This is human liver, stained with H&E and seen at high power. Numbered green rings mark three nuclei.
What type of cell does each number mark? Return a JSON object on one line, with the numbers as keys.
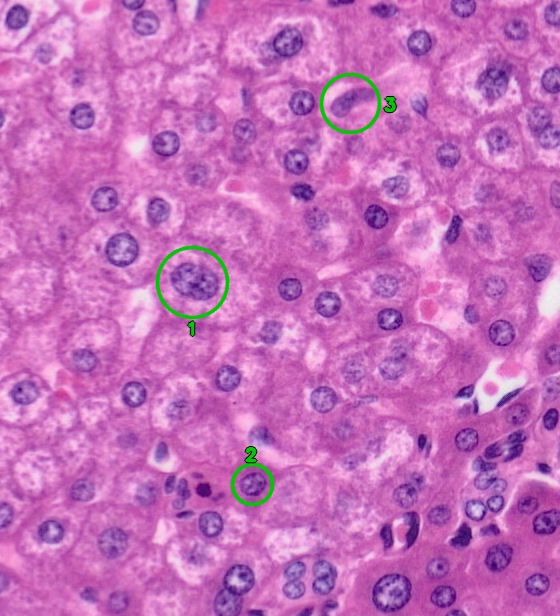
{"1": "hepatocyte", "2": "hepatocyte", "3": "Kupffer cell"}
